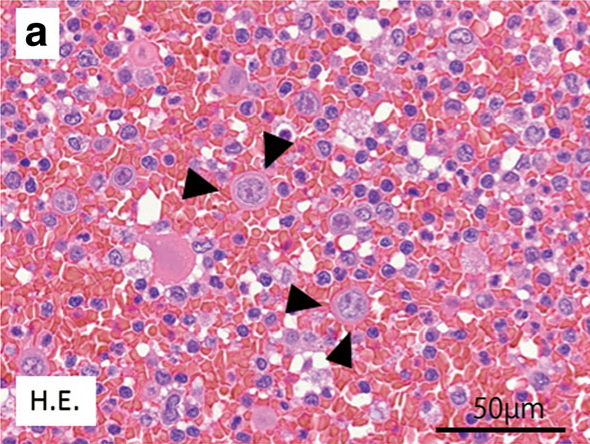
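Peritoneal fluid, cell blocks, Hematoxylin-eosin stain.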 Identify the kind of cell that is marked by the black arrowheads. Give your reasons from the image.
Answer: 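Isolated atypical cells. The marked cells are single and much larger than the surrounding blood cells. They have large round nuclei with distinct nucleoli. They lie scattered among red blood cells and small lymphoid cells.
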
